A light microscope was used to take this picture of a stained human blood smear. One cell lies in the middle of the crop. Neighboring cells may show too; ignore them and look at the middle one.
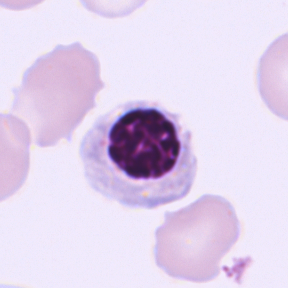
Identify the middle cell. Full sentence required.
The cell in the middle of the field of view is a normoblast.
